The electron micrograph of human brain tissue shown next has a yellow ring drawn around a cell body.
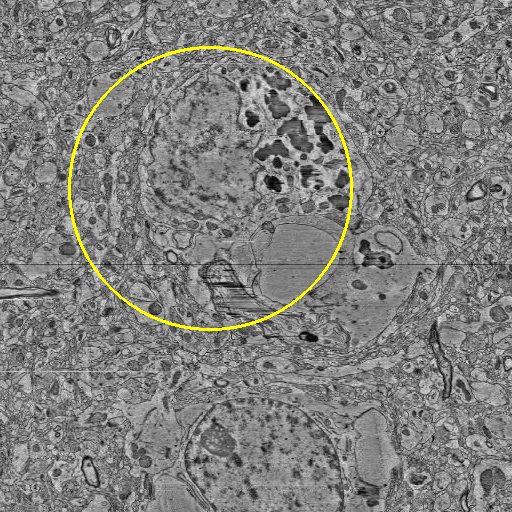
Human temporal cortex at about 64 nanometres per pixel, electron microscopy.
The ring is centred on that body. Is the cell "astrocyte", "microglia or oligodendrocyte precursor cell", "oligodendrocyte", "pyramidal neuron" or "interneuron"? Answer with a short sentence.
The cell in question is an interneuron.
